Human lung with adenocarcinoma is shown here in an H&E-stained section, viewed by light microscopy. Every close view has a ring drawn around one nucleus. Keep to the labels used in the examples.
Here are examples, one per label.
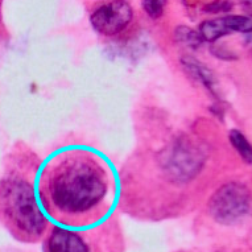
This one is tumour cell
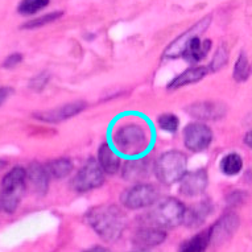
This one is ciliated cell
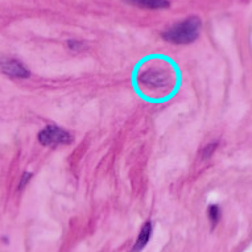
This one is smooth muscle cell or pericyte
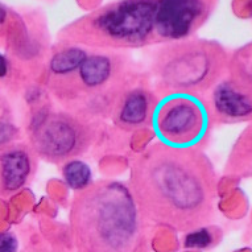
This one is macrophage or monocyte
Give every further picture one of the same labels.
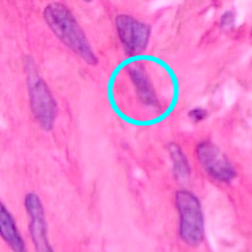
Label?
smooth muscle cell or pericyte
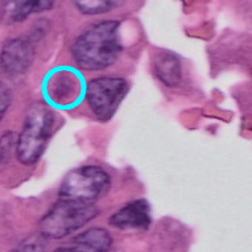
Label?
tumour cell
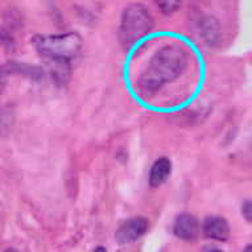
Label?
tumour cell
